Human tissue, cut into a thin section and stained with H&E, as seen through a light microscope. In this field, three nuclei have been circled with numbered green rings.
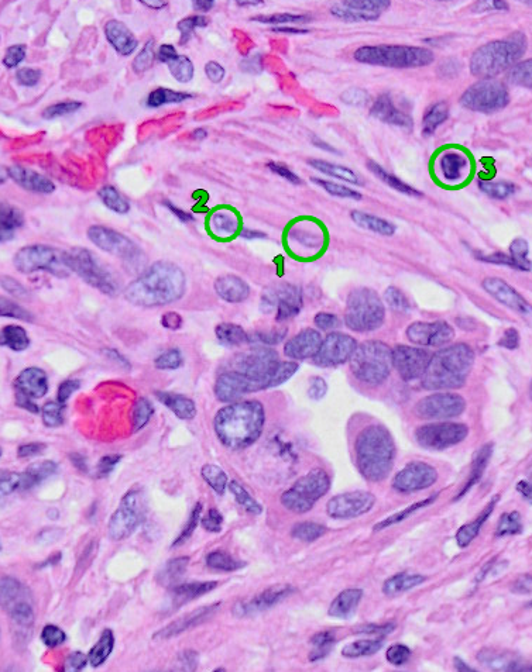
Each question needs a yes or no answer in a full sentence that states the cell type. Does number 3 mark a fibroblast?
No, the cell that carries number 3 is a lymphocyte, not a fibroblast.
